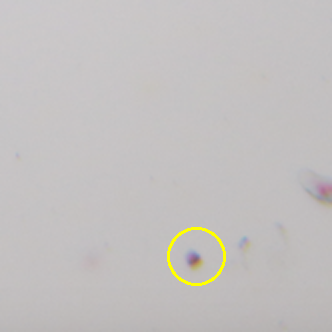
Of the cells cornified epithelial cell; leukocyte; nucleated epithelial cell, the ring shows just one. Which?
The ring shows a leukocyte.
